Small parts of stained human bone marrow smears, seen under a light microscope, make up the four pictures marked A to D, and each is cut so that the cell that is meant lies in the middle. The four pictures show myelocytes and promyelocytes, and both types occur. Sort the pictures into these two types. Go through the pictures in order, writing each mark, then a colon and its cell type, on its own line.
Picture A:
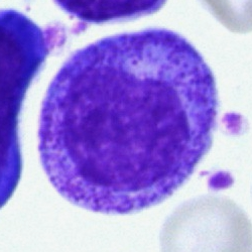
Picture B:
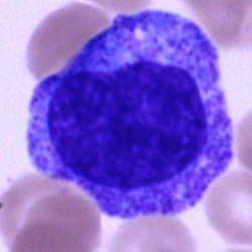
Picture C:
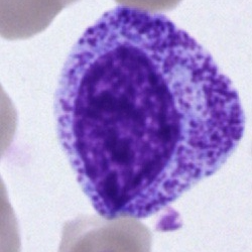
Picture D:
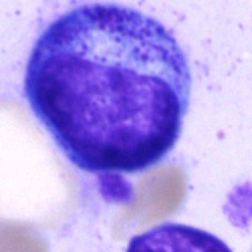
A: myelocyte
B: promyelocyte
C: myelocyte
D: promyelocyte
